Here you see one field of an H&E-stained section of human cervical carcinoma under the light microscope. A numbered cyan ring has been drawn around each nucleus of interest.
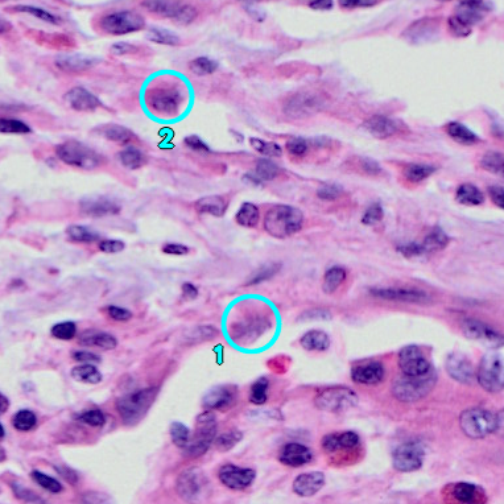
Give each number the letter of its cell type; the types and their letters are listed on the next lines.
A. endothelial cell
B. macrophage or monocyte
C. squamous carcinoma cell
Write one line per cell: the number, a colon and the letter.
1: A
2: B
